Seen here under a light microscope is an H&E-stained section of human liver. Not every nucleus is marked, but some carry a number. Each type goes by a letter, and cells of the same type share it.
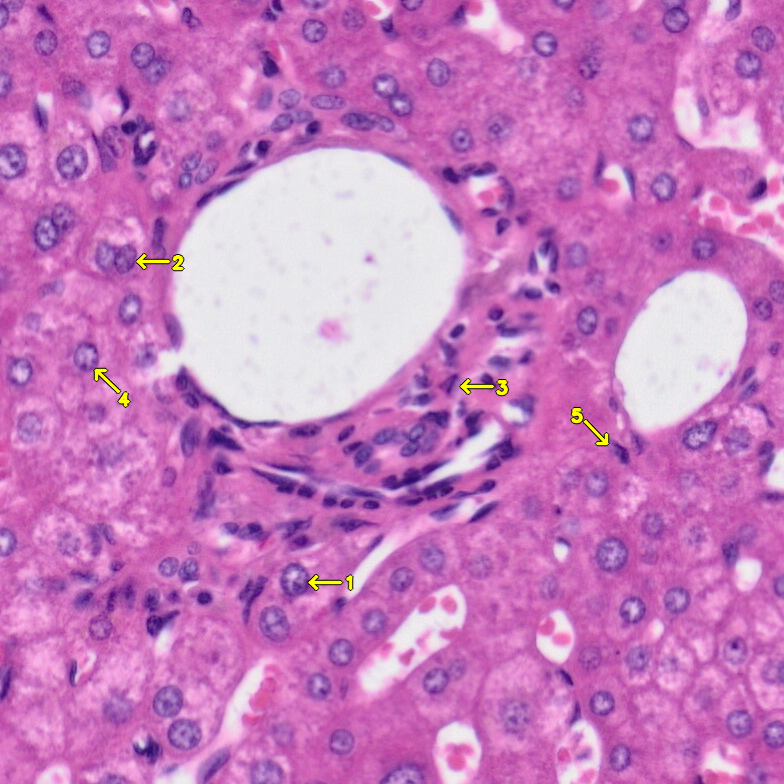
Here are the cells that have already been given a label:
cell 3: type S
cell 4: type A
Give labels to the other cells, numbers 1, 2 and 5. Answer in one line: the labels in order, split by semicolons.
type A; type A; type S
